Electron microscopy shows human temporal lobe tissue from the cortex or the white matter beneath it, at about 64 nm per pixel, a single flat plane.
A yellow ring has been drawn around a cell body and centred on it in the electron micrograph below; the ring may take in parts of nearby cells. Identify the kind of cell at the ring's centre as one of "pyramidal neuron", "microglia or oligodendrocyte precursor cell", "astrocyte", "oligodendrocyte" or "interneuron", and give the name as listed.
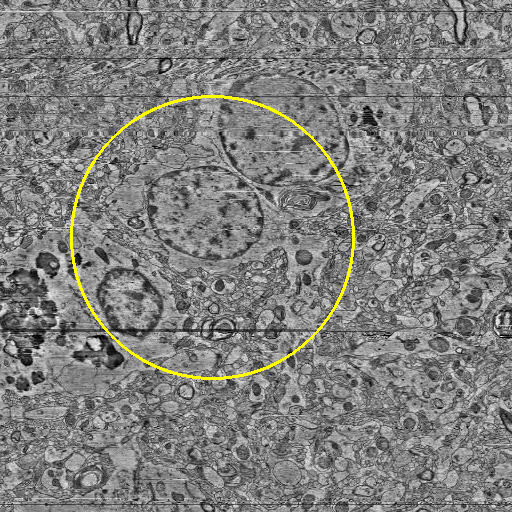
astrocyte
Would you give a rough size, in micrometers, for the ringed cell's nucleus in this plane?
The nucleus comes to roughly 8 by 6 micrometres in this plane.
